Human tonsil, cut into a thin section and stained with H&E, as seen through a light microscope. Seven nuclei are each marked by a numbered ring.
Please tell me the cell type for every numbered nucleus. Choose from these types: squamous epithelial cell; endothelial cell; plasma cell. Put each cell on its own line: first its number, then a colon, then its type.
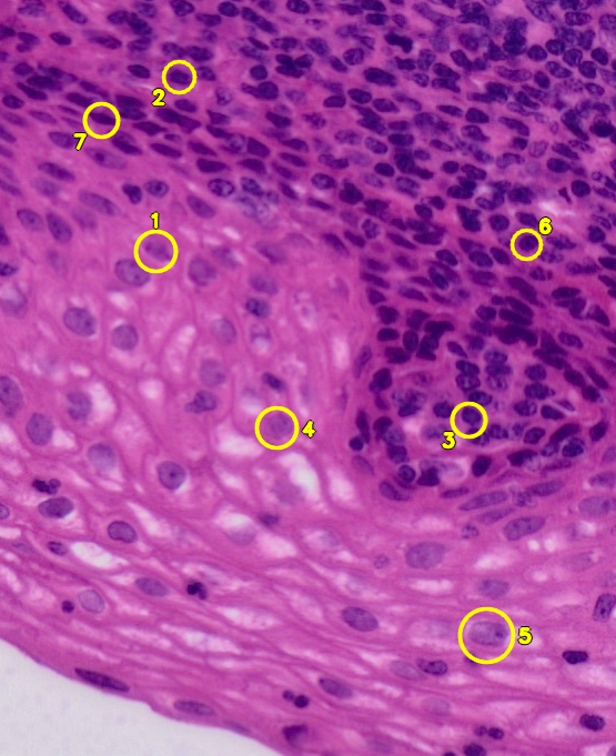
1: squamous epithelial cell
2: plasma cell
3: plasma cell
4: squamous epithelial cell
5: squamous epithelial cell
6: plasma cell
7: squamous epithelial cell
